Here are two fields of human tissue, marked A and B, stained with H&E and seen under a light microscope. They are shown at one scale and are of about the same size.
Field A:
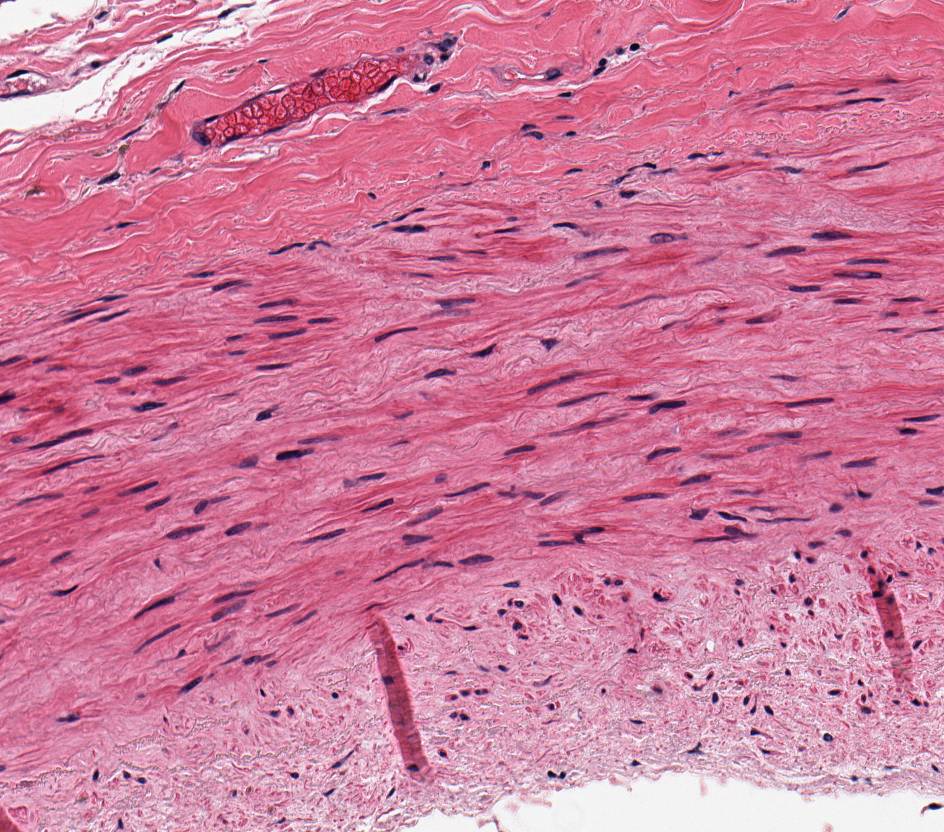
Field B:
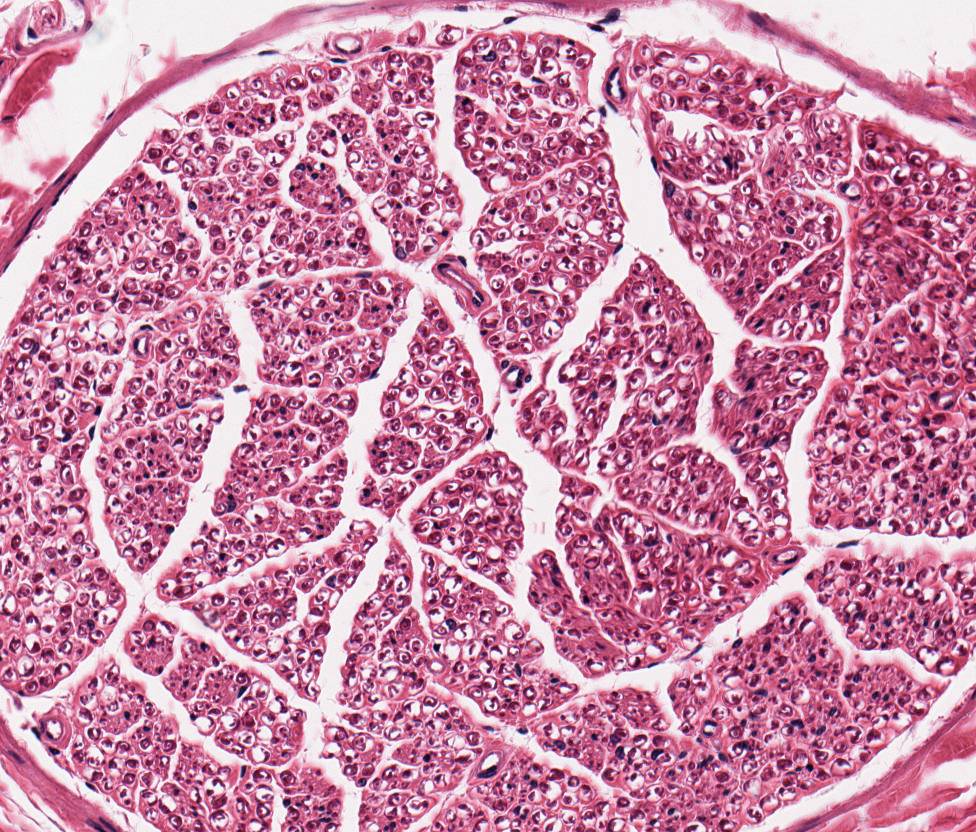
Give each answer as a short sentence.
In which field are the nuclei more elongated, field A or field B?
The nuclei are more elongated in field A.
